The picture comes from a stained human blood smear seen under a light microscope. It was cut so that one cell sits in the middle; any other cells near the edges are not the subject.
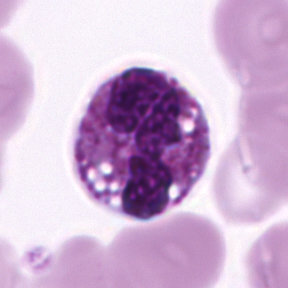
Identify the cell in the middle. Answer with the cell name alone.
eosinophil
